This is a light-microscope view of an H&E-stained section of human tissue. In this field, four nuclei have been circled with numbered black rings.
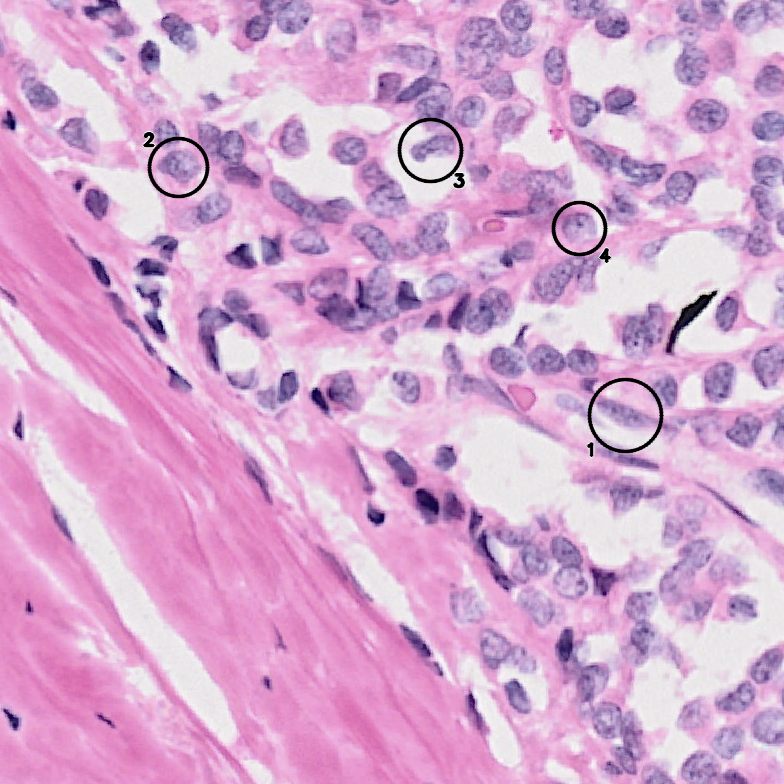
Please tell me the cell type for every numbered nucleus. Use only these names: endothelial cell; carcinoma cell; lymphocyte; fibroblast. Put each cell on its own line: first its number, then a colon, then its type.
1: endothelial cell
2: carcinoma cell
3: carcinoma cell
4: carcinoma cell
